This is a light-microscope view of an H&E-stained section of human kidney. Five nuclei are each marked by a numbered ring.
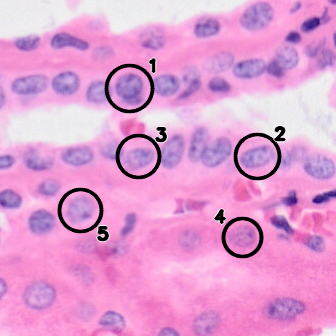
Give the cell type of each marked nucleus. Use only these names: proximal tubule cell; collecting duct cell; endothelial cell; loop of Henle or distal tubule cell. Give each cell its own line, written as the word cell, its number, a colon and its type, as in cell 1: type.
cell 1: collecting duct cell
cell 2: collecting duct cell
cell 3: collecting duct cell
cell 4: proximal tubule cell
cell 5: loop of Henle or distal tubule cell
